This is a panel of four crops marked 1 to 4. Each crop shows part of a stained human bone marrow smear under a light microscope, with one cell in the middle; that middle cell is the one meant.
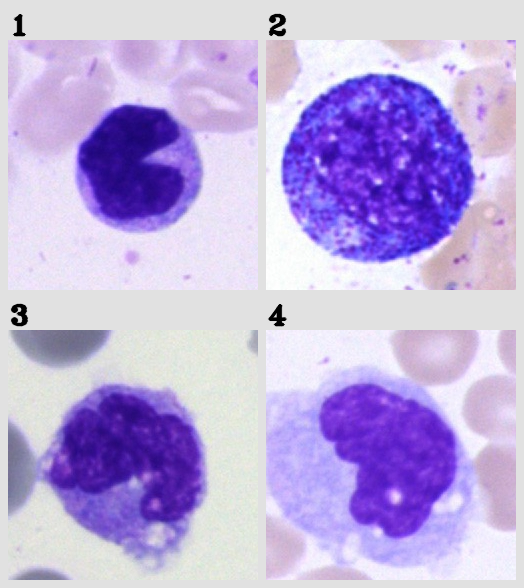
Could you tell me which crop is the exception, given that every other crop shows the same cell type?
2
